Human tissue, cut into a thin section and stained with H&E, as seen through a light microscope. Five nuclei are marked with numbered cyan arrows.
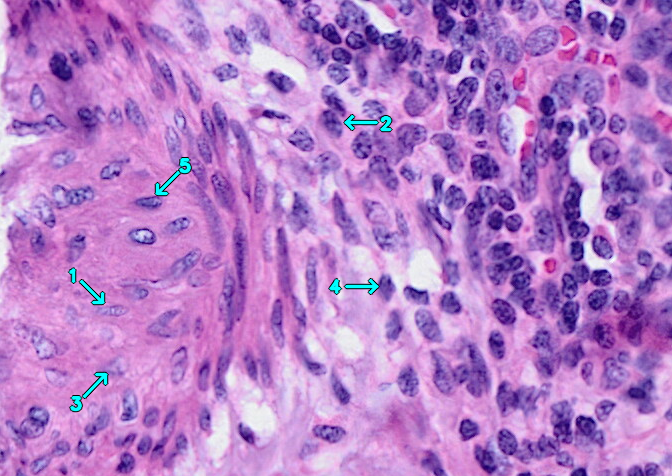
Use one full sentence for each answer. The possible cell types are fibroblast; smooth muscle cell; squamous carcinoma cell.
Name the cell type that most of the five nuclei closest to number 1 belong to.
Smooth muscle cells make up most of the five nuclei closest to number 1.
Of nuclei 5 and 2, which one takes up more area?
At about 1.5 times the area of nucleus 5, nucleus 2 is the larger of the two.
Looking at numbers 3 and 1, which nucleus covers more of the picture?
At about 1.5 times the area of nucleus 1, nucleus 3 is the larger of the two.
